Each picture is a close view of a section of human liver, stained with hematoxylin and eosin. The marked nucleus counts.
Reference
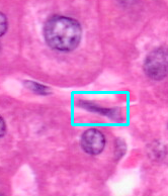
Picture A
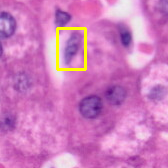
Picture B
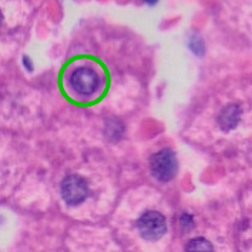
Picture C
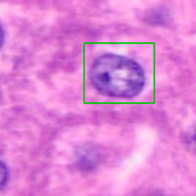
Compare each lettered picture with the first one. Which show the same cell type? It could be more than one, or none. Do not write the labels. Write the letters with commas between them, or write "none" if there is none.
A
